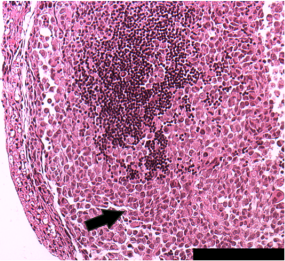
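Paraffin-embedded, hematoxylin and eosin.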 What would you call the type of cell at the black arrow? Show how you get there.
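The arrow points at larger pink-staining cells surrounding a dark cluster of small cells. So: tumor cells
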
